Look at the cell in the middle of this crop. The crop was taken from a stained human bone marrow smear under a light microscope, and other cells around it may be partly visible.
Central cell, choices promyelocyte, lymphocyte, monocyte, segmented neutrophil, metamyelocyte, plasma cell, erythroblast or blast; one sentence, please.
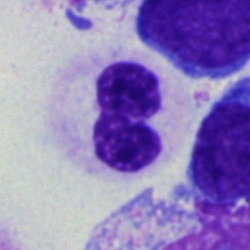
In short, the cell at the center is a segmented neutrophil.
